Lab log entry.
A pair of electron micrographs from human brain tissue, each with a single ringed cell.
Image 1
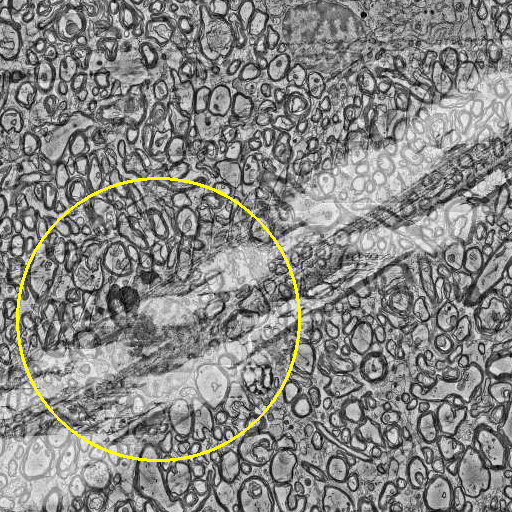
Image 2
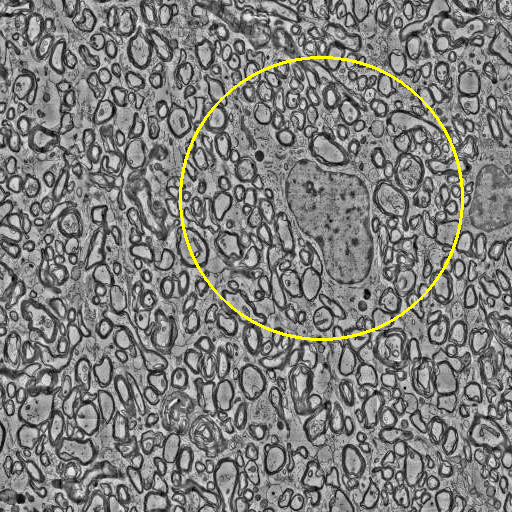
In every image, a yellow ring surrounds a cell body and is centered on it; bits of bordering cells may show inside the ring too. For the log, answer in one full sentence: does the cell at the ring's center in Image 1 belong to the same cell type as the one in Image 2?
No, the cells at the ring centers in Image 1 and Image 2 are of separate types.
